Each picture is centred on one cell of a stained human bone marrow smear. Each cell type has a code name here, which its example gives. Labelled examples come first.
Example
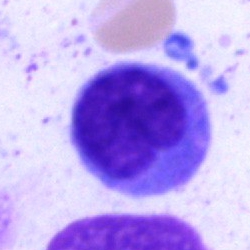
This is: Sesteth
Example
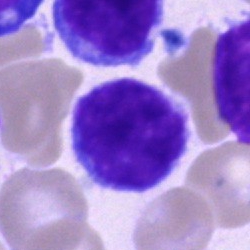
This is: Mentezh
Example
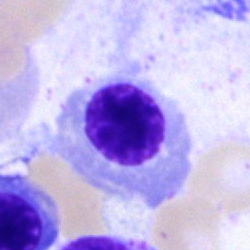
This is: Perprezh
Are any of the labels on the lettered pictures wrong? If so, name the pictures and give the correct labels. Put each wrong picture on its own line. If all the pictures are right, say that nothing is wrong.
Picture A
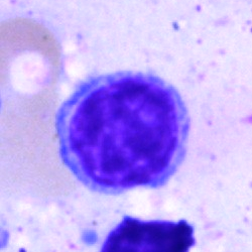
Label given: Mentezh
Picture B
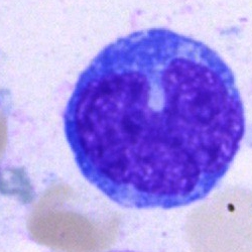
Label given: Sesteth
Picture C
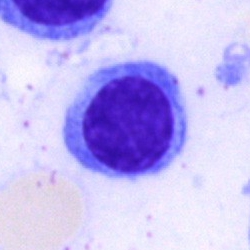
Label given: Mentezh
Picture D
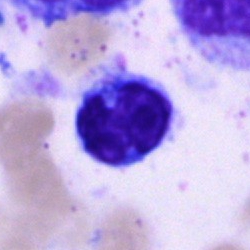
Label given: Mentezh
All labels are correct.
